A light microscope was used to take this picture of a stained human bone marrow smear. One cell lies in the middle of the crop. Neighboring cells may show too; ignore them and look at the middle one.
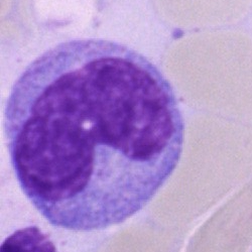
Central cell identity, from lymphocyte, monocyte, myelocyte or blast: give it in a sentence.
At the crop's centre, the cell is a monocyte.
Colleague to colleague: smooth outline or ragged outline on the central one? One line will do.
Worth noting that the cell border is smooth and lacks projections.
